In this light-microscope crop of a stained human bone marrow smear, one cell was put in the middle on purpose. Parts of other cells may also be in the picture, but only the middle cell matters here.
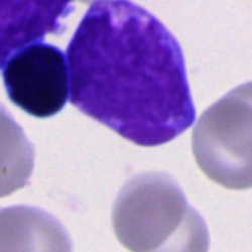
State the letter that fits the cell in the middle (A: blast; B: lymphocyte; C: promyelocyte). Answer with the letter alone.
A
